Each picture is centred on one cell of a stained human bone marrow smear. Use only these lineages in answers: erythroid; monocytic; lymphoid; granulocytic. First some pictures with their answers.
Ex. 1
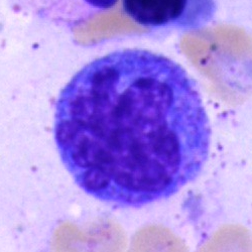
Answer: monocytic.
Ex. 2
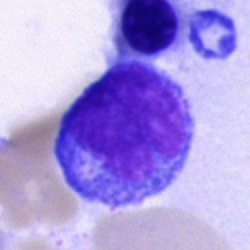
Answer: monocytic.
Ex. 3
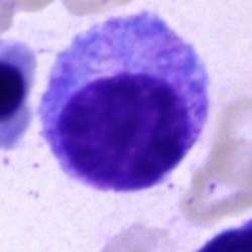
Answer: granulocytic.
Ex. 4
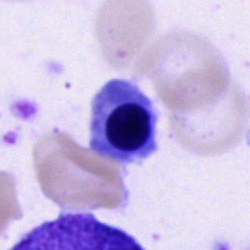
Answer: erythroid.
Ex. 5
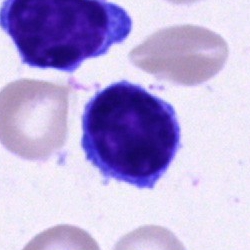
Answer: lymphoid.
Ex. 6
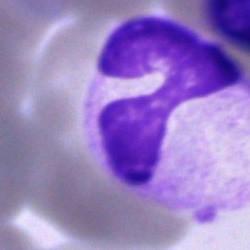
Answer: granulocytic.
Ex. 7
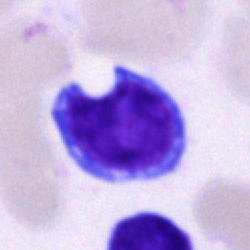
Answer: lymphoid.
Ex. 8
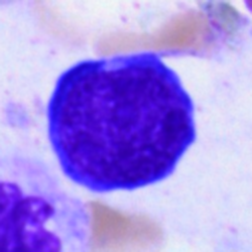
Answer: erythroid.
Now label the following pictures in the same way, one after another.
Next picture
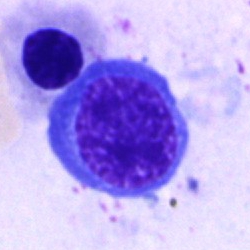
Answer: erythroid.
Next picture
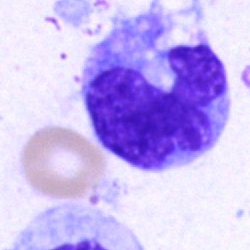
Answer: monocytic.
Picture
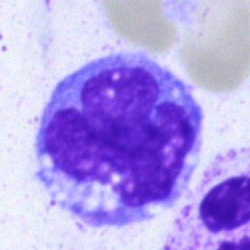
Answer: monocytic.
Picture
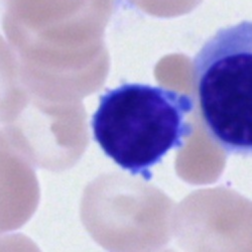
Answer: lymphoid.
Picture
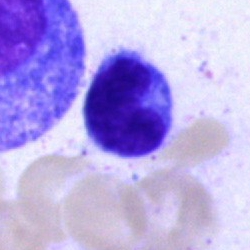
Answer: lymphoid.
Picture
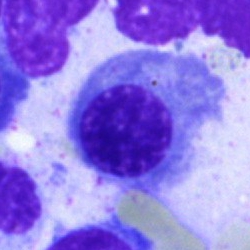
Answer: erythroid.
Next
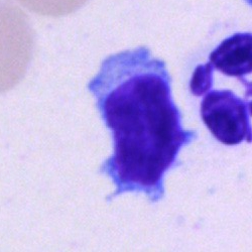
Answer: lymphoid.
